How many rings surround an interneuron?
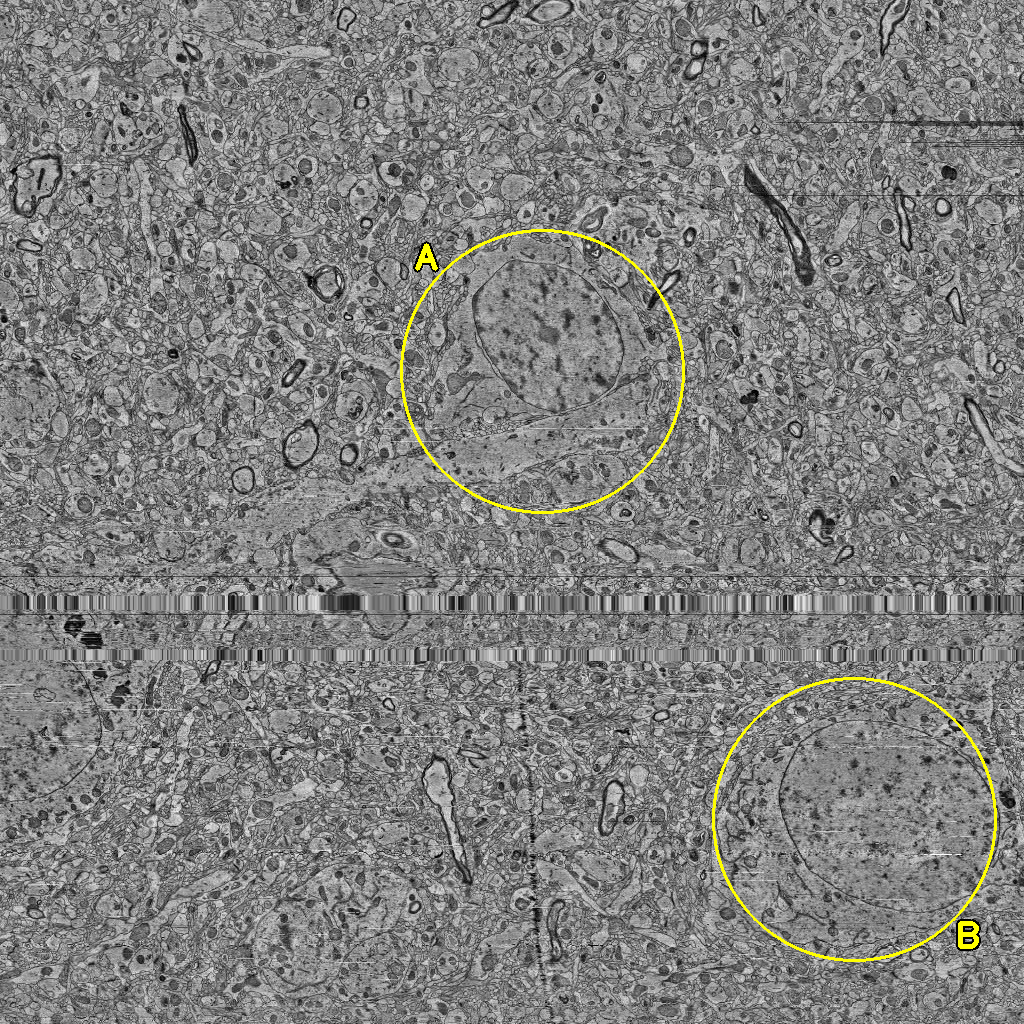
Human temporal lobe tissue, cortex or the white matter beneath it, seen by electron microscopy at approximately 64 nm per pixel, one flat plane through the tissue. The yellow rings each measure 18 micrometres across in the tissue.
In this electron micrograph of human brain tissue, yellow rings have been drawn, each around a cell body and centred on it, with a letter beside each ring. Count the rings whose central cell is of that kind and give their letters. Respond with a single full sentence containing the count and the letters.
There is no ring centred on an interneuron in this micrograph, and so the count is zero.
